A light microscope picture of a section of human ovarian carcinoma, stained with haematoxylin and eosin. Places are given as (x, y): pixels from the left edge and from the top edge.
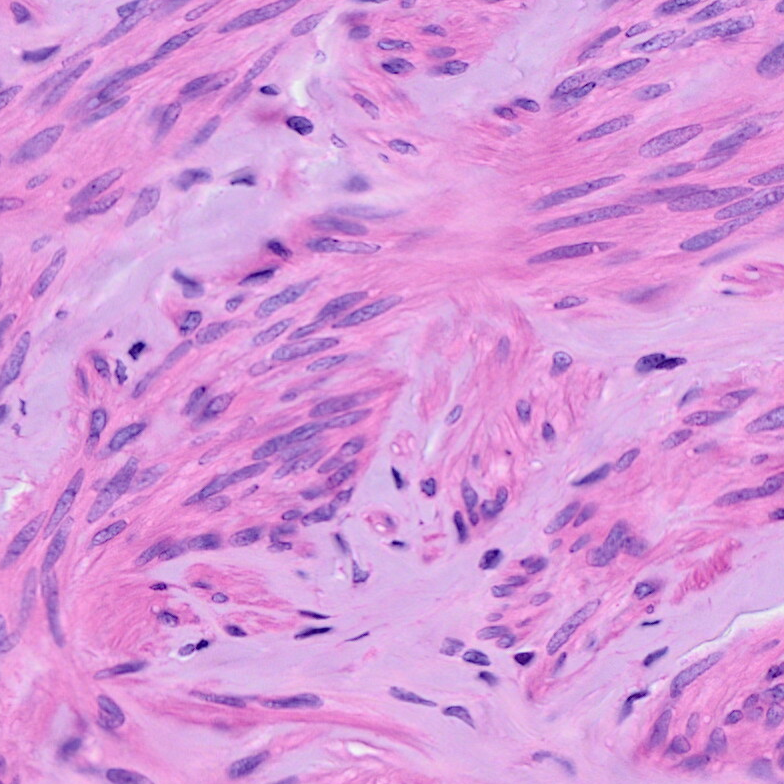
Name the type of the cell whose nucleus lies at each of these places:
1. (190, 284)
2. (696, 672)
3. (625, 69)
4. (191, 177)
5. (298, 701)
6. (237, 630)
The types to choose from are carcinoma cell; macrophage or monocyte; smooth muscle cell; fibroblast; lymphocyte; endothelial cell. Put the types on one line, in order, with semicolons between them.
fibroblast; smooth muscle cell; smooth muscle cell; fibroblast; smooth muscle cell; smooth muscle cell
